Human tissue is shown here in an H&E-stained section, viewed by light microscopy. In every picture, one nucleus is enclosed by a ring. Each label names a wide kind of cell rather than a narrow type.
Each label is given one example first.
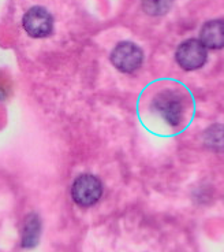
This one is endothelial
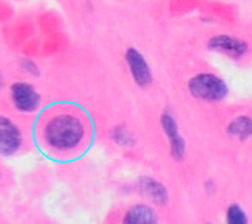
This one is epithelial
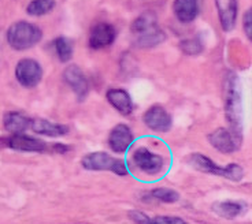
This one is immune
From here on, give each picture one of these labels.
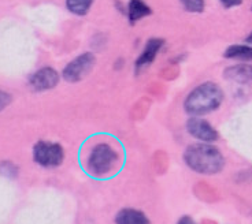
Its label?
epithelial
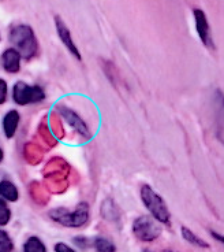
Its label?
endothelial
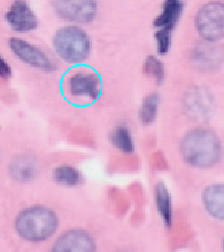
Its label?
epithelial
